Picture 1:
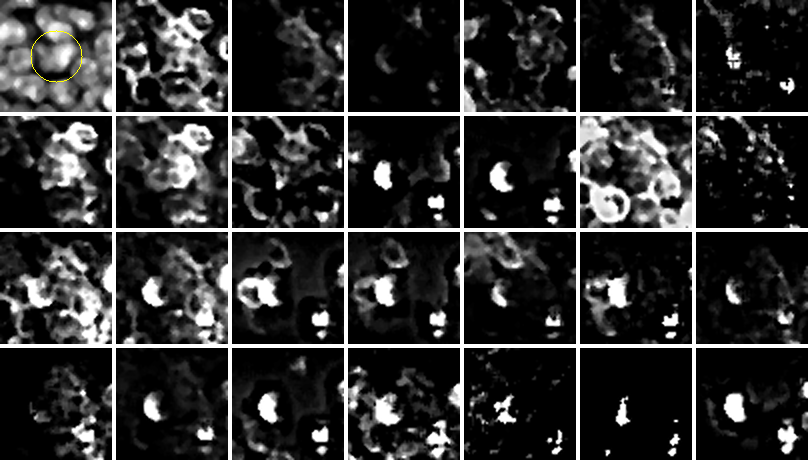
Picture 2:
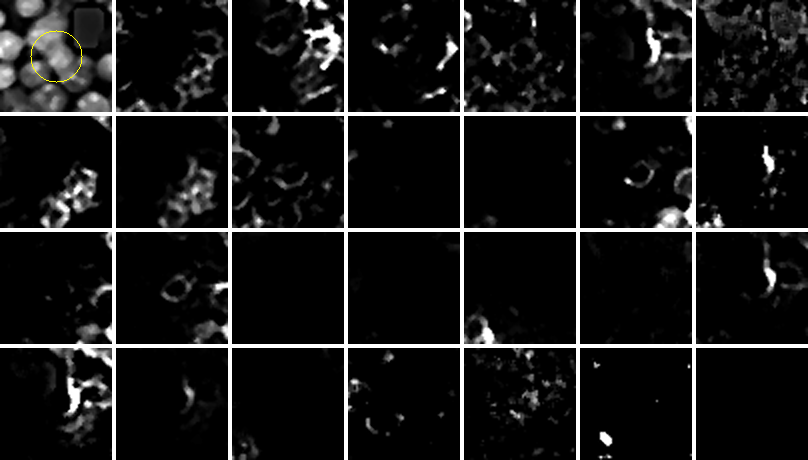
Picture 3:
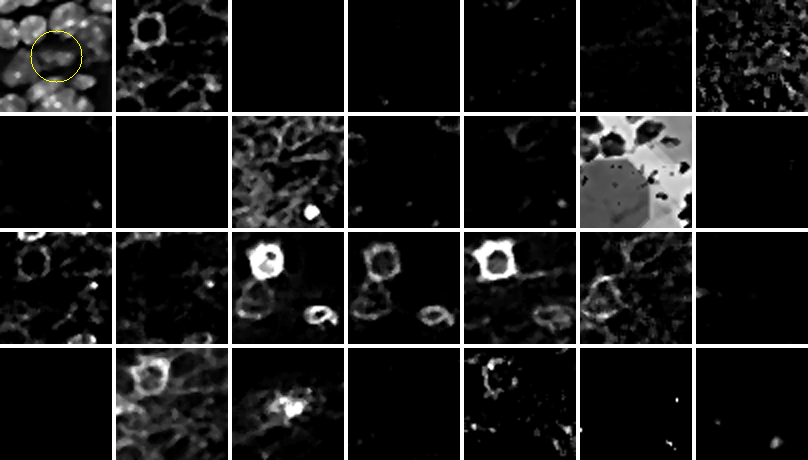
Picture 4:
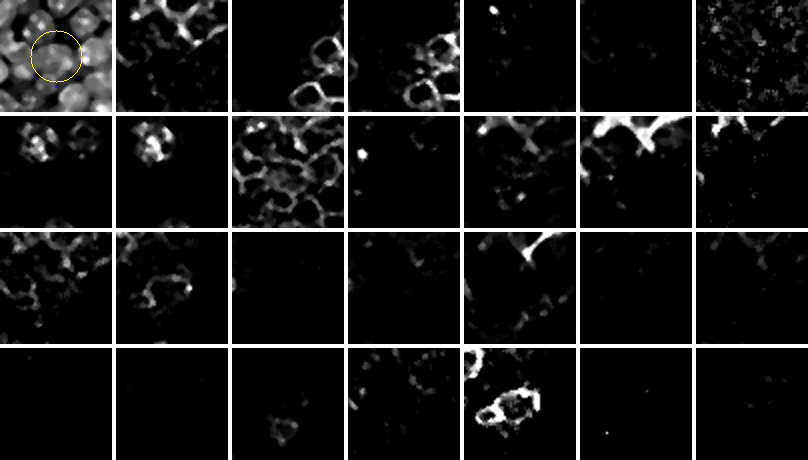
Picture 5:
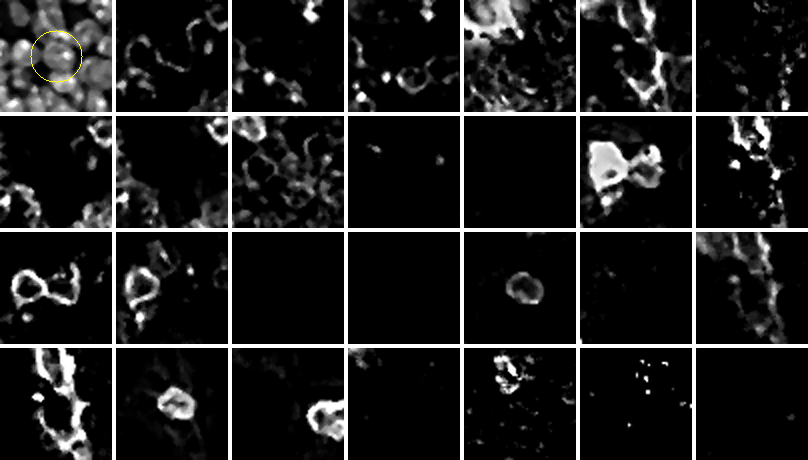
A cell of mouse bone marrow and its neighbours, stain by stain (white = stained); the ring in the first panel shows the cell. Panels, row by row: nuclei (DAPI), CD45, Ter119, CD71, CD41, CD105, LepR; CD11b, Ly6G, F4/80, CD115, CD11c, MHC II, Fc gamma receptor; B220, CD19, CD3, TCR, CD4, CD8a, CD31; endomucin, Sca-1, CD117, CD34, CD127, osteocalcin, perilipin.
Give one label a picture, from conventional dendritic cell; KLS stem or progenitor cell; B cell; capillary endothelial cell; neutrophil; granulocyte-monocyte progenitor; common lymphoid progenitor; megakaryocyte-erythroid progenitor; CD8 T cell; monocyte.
1. B cell
2. capillary endothelial cell
3. megakaryocyte-erythroid progenitor
4. common lymphoid progenitor
5. capillary endothelial cell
